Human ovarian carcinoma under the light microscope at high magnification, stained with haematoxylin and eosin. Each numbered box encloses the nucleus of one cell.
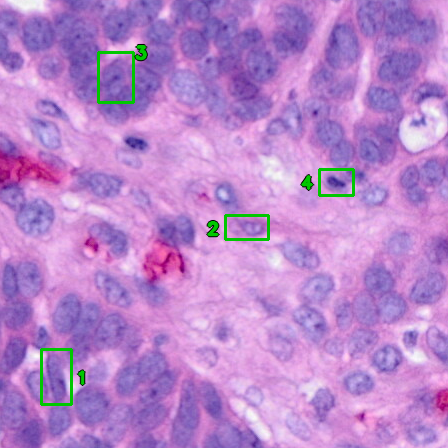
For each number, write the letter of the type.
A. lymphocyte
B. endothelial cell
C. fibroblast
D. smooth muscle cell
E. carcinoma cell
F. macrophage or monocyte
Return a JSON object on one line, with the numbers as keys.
{"1": "E", "2": "B", "3": "E", "4": "A"}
